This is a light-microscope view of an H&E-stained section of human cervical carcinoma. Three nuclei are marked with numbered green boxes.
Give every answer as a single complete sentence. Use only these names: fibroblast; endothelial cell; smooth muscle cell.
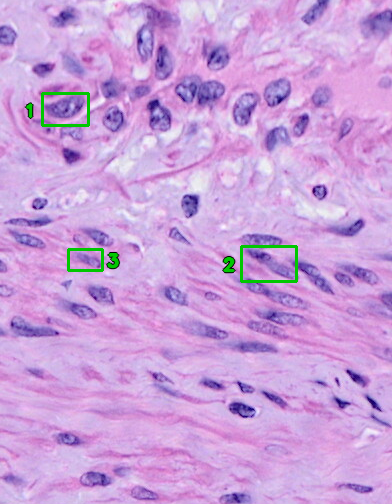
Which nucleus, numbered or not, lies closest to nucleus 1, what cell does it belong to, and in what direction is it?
Just above and to the left of nucleus 1 lies the nearest nucleus, which belongs to a smooth muscle cell.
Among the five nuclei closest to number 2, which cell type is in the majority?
The majority of the five nuclei closest to number 2 belong to smooth muscle cells.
